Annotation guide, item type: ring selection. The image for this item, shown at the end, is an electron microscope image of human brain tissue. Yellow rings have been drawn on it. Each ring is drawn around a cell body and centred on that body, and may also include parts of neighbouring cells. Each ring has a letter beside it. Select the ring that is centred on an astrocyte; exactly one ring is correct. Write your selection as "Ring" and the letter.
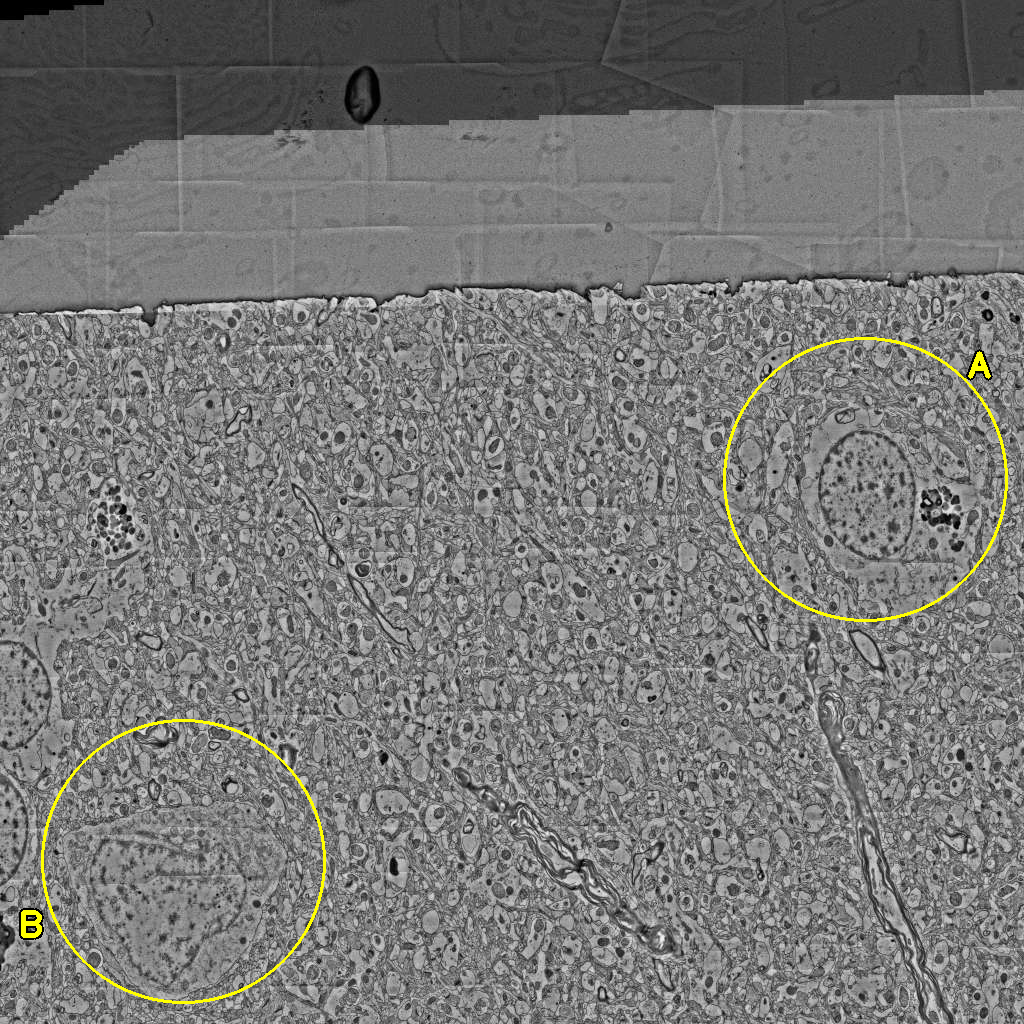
Ring A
